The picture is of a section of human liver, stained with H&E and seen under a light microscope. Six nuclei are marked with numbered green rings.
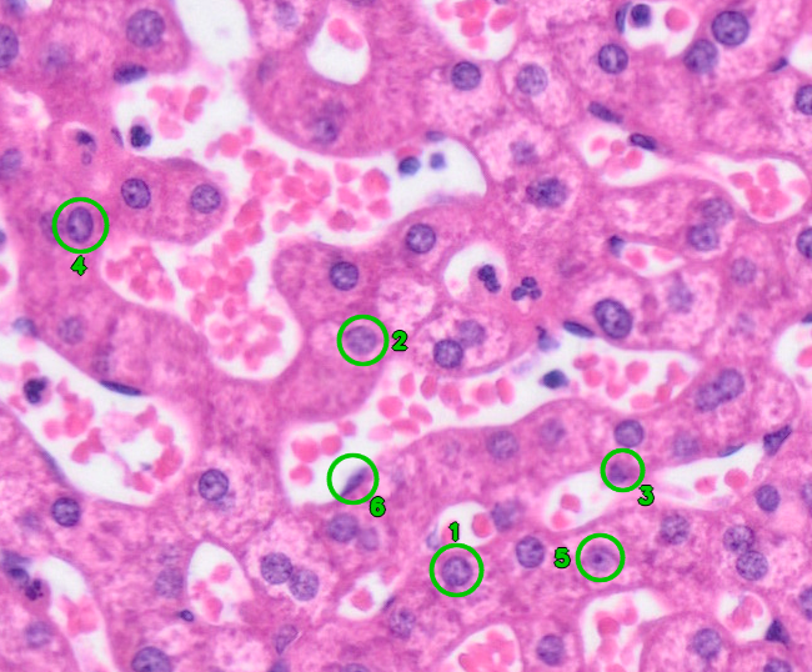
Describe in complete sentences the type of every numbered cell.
Cell 1 is a hepatocyte, cell 2 is a hepatocyte, cell 3 is a Kupffer cell, cell 4 is a hepatocyte, cell 5 is a hepatocyte and cell 6 is an endothelial cell.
